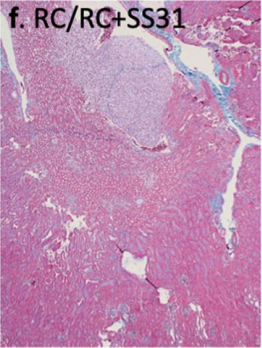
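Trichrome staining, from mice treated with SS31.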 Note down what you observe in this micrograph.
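This kidney section again shows tissue packed with red to pink tubular profiles in a fine, grainy texture. Near the top a pale, blue-grey area stands out from the surrounding red tubules. Narrow clear spaces run through the section, and some are edged by thin strands of blue connective tissue. Across most of the field the blue staining between tubules is sparse.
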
